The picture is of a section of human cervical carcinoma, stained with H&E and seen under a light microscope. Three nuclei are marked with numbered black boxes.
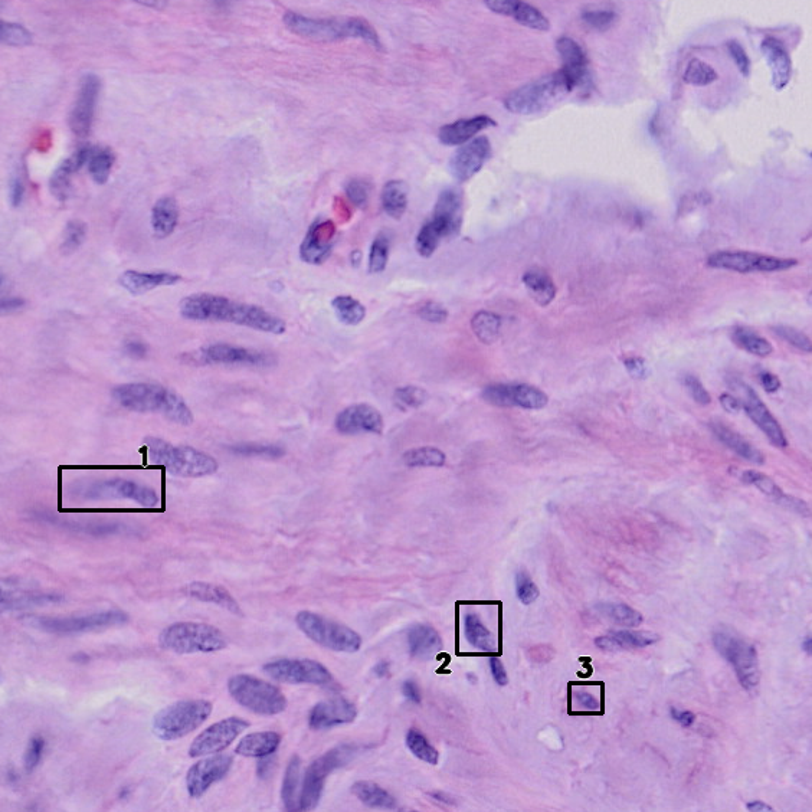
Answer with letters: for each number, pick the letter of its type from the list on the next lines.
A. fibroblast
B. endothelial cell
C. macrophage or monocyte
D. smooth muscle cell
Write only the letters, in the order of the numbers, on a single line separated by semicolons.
A; A; D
